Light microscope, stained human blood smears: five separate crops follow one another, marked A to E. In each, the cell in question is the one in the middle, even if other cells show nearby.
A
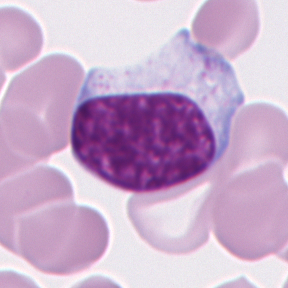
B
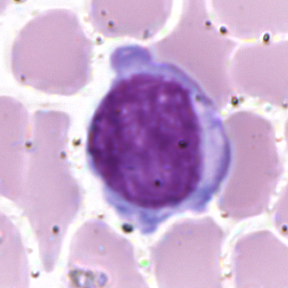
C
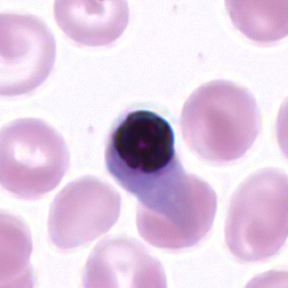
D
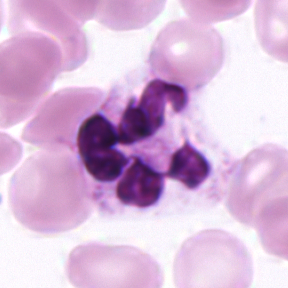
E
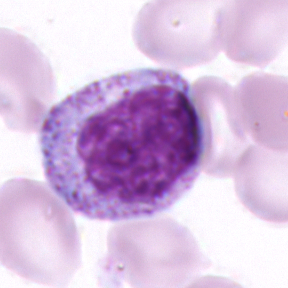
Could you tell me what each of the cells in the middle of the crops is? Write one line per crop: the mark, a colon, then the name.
A: large granular lymphocyte
B: plasma cell
C: normoblast
D: segmented neutrophil
E: myelocyte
